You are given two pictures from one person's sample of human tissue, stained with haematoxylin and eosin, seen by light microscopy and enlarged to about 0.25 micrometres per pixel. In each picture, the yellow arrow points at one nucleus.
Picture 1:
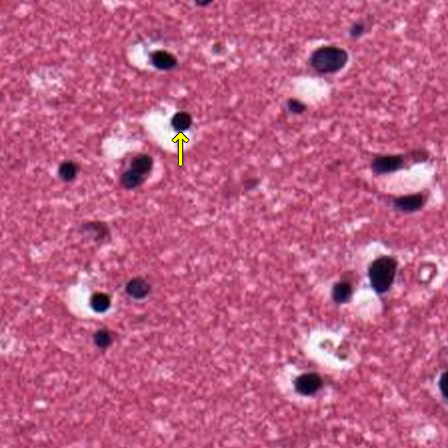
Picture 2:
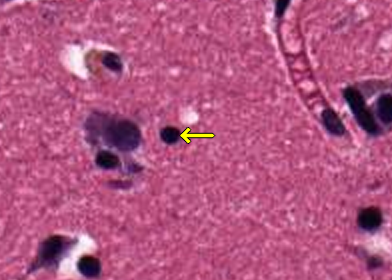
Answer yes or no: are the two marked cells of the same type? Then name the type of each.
Yes, both are oligodendrocytes.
